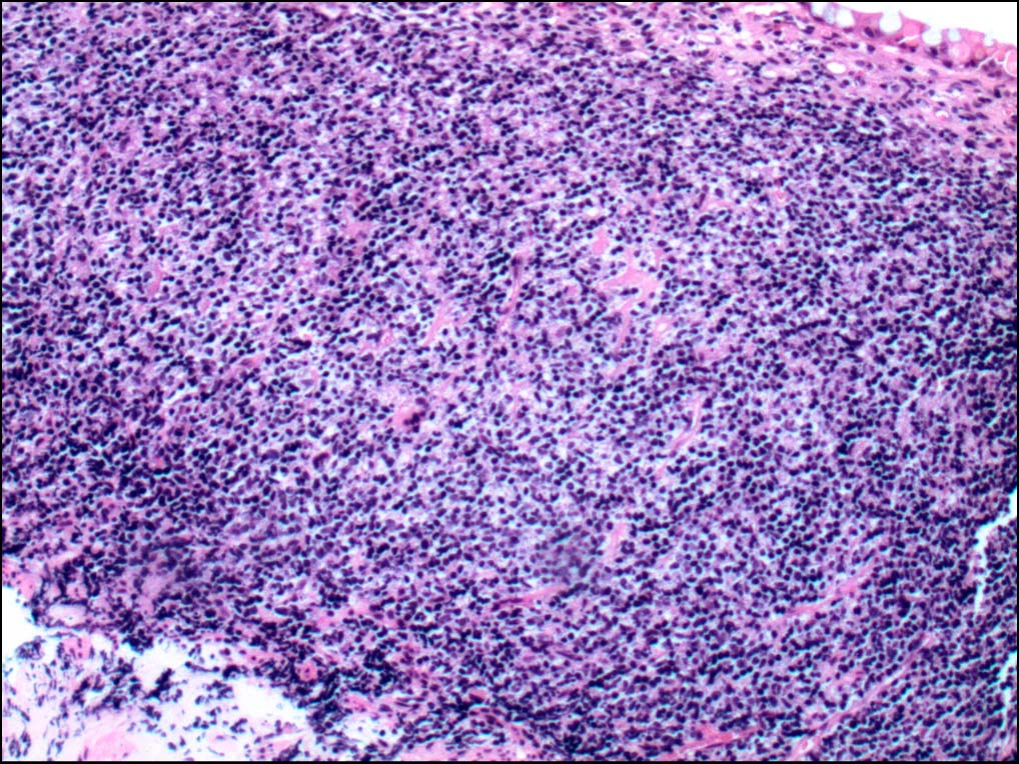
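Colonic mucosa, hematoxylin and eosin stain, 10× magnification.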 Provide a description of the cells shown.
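Almost the whole field is packed with a dense, diffuse sheet of small cells with dark purple nuclei. The nuclei are round to somewhat irregular and dense. Many cells have a rim of pale, clear cytoplasm. Thin pink strands of stroma and small vessels run between the cells, and a strip of surface epithelium is just visible at the upper right edge.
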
